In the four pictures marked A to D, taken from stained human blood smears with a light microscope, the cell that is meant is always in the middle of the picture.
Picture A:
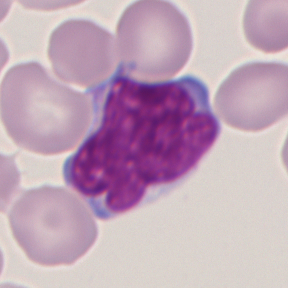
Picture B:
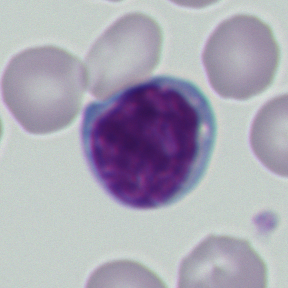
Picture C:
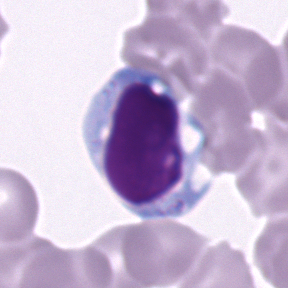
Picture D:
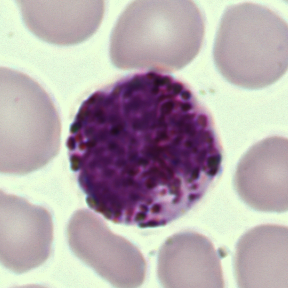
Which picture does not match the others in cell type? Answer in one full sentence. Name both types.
All pictures except D show typical lymphocytes; picture D shows a basophil.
